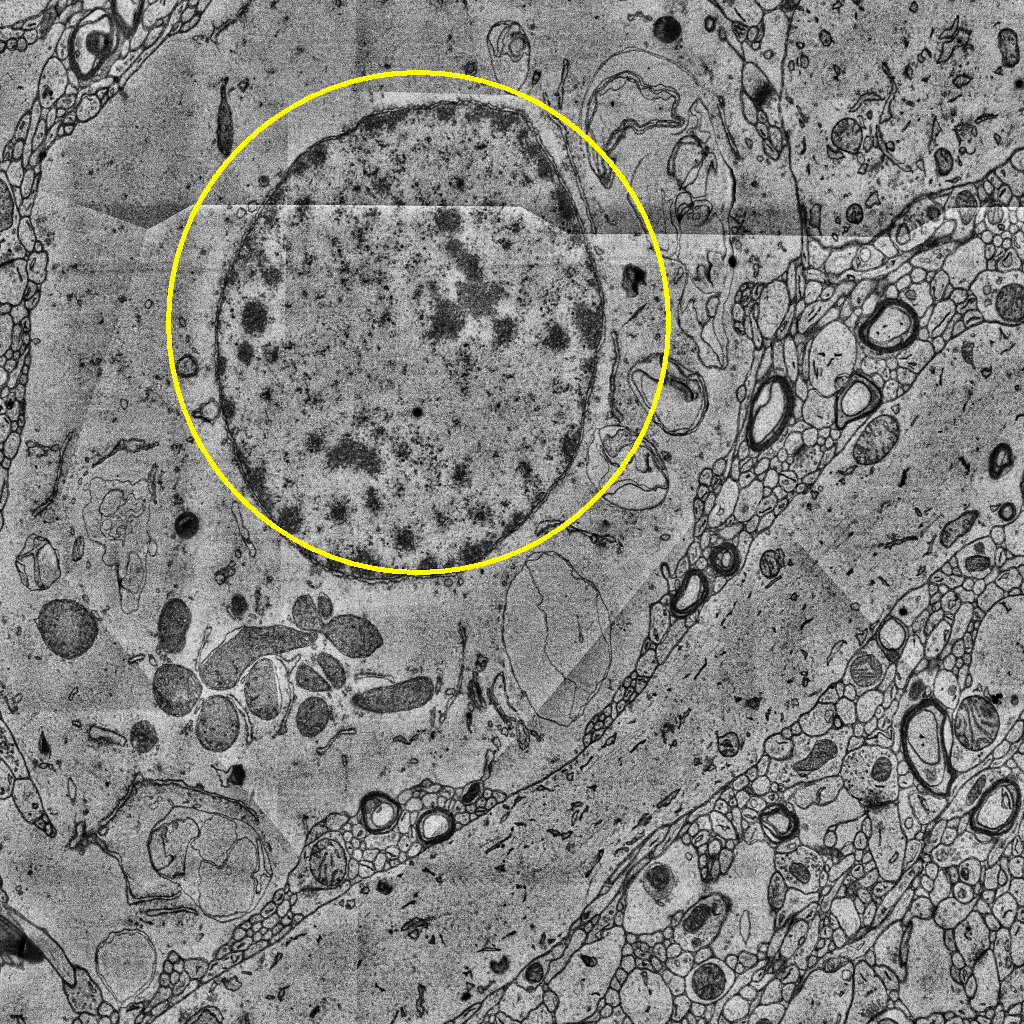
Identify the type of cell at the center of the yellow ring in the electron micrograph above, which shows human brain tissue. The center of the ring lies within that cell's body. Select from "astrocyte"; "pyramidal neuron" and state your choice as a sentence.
The center of the yellow ring lies in the body of an astrocyte.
